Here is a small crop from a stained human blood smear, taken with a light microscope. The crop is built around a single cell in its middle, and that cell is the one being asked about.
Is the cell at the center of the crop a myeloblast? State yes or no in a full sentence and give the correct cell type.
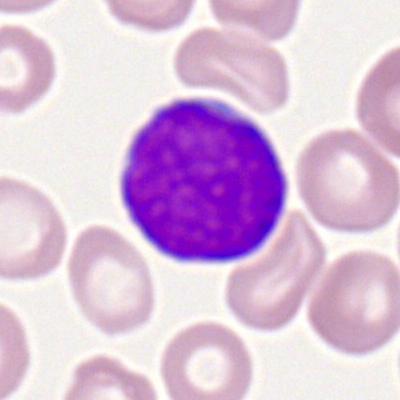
Yes, the middle cell here is a myeloblast.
